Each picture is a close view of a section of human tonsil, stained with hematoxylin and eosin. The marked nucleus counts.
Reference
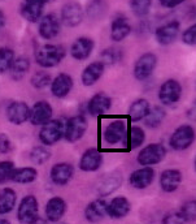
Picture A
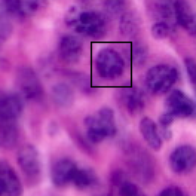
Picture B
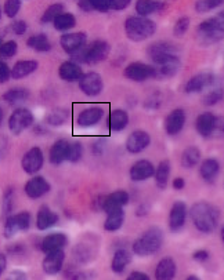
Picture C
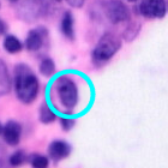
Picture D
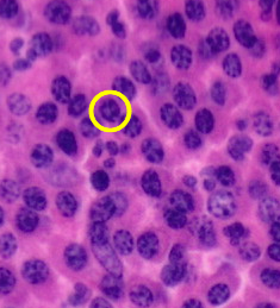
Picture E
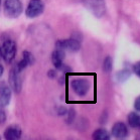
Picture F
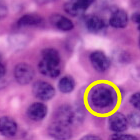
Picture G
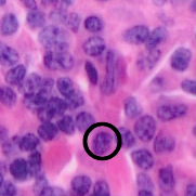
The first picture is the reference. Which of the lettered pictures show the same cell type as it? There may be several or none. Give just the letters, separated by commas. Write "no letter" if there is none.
A, B, D, F, G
